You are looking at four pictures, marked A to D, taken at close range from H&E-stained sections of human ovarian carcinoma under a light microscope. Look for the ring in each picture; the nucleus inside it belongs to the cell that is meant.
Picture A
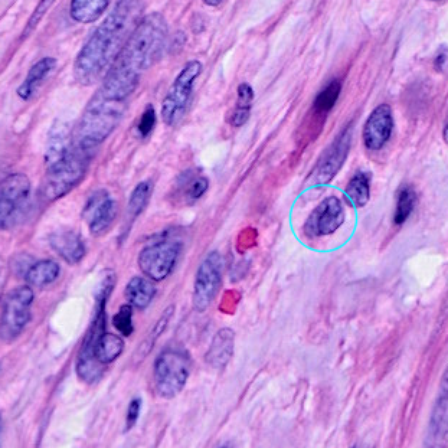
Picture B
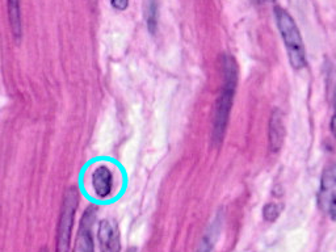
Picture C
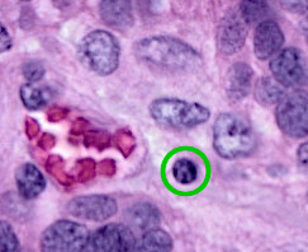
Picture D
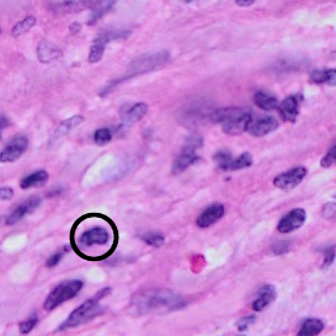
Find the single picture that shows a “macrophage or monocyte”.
A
